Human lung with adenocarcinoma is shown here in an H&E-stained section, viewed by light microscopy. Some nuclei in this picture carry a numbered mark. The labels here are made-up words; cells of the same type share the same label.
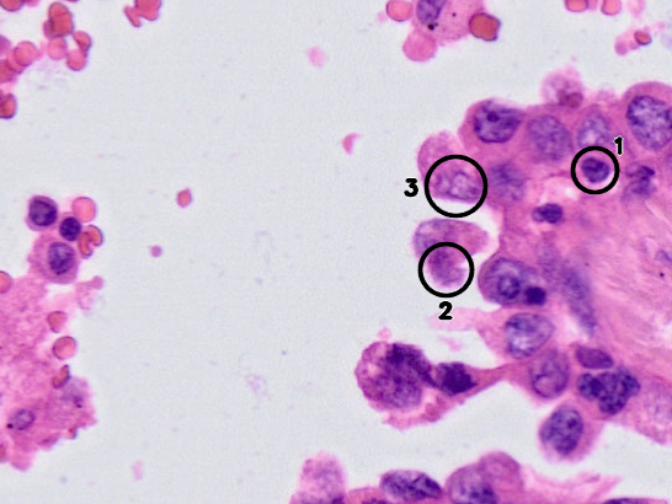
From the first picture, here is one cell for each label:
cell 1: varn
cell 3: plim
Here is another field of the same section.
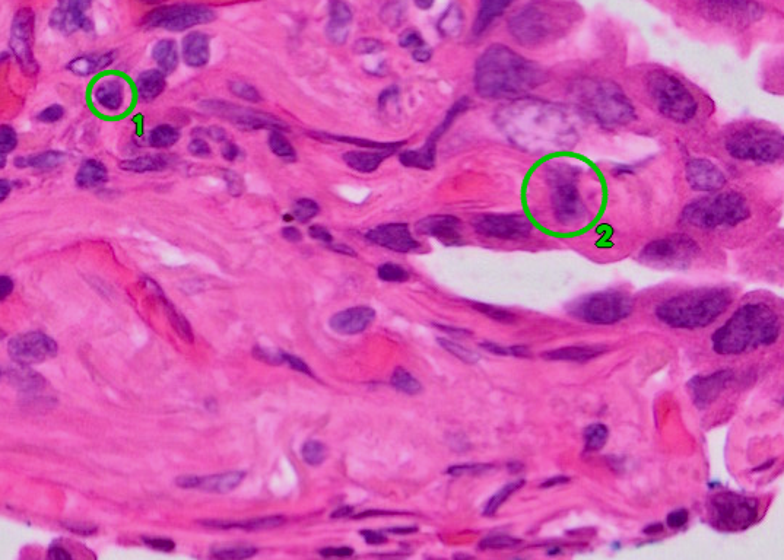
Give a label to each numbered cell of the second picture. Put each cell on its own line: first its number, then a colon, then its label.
1: varn
2: plim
